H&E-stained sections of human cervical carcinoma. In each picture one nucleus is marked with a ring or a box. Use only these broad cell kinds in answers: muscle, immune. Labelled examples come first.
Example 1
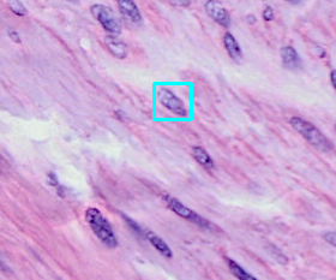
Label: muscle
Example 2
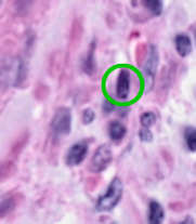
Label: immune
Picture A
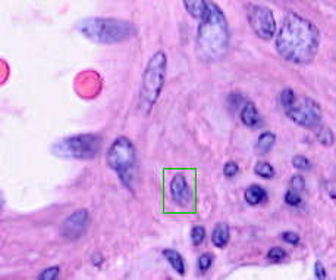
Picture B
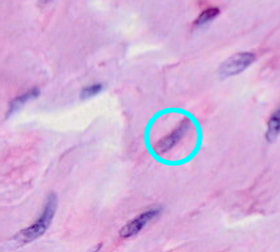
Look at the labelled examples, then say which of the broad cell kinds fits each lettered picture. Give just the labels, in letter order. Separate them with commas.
muscle, muscle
